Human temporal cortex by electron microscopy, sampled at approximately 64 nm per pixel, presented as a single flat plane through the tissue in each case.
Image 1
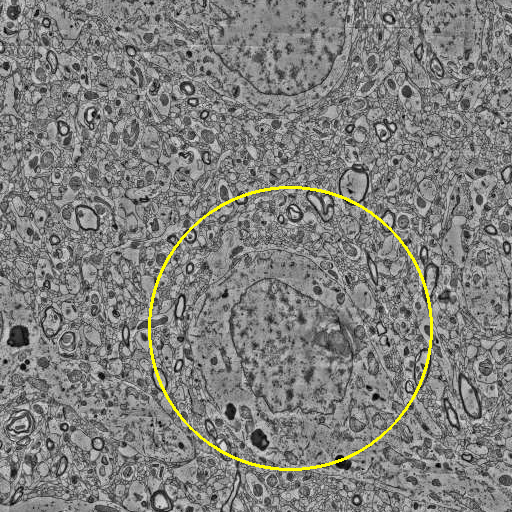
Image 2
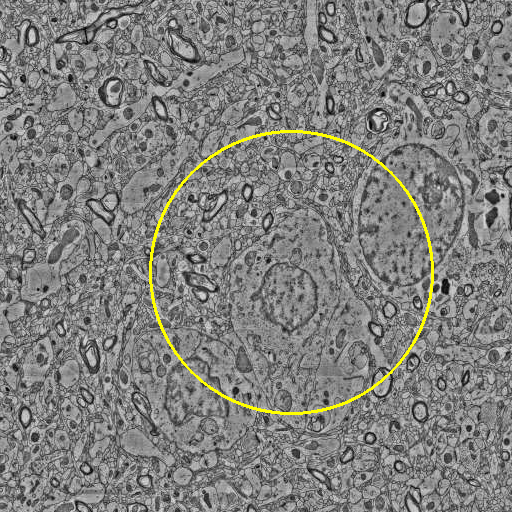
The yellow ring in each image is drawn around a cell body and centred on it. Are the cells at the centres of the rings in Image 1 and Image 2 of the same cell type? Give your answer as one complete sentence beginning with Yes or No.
Yes, both cells are of the same type.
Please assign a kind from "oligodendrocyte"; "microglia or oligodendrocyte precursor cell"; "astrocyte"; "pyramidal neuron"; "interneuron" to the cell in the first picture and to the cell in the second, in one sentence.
Each of the two rings is centred on a pyramidal neuron.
